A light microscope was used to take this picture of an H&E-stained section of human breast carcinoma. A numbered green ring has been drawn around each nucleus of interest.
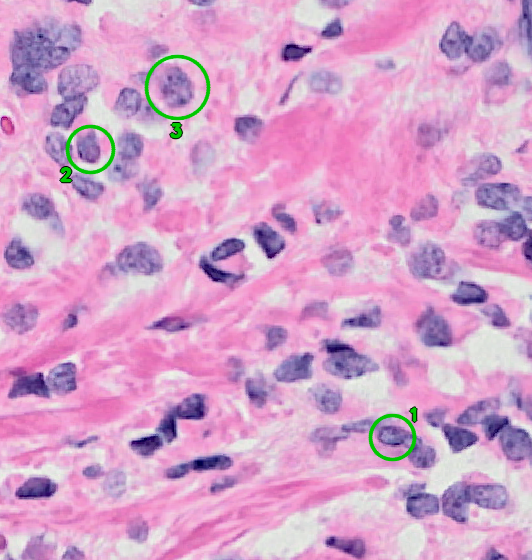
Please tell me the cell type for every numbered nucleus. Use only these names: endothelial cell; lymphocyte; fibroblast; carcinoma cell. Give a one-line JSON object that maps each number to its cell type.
{"1": "endothelial cell", "2": "carcinoma cell", "3": "carcinoma cell"}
